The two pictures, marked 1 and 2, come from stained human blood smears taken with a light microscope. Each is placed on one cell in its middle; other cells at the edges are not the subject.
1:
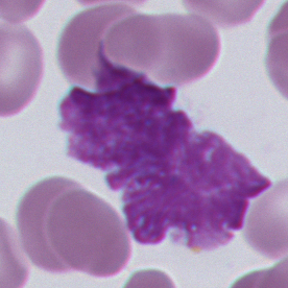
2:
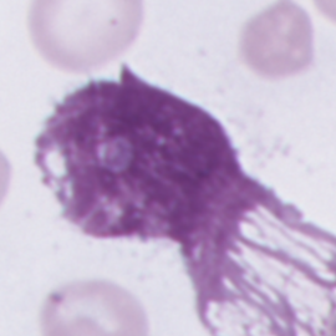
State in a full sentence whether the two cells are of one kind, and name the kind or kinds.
Yes, the central cells in both crops are smudge cells.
